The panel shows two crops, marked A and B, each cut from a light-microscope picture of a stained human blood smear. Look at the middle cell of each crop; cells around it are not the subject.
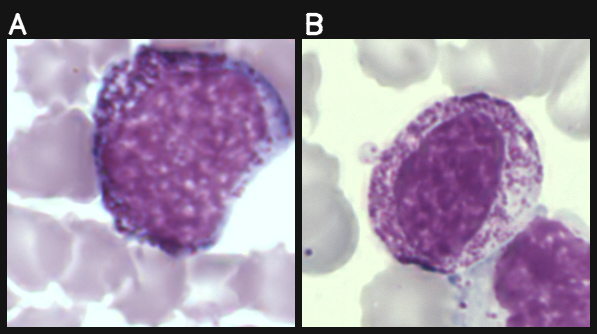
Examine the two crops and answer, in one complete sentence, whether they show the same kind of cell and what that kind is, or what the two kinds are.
No, as for crop A, it shows a promyelocyte, and crop B shows a myelocyte.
